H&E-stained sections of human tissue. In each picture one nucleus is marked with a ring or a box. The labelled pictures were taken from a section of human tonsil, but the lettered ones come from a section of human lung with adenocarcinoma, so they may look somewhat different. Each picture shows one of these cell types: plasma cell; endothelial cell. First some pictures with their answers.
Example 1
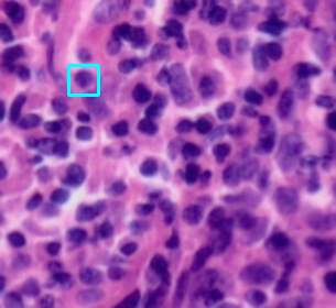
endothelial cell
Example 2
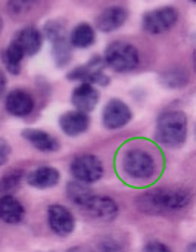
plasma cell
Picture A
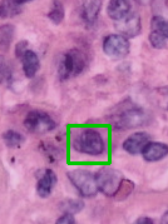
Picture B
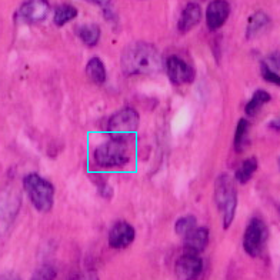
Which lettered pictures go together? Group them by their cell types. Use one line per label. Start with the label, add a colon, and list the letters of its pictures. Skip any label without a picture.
plasma cell: A, B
